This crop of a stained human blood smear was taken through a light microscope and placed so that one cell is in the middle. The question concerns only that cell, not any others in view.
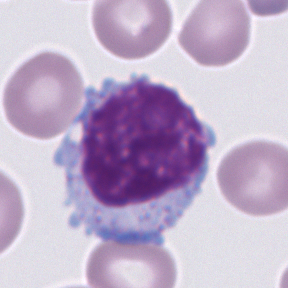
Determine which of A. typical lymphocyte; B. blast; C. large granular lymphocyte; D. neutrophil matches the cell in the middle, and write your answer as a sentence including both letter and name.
Here the central cell is a large granular lymphocyte, and option C is correct.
